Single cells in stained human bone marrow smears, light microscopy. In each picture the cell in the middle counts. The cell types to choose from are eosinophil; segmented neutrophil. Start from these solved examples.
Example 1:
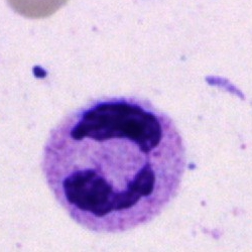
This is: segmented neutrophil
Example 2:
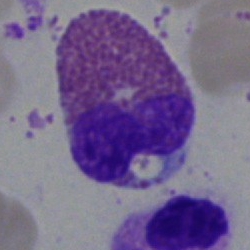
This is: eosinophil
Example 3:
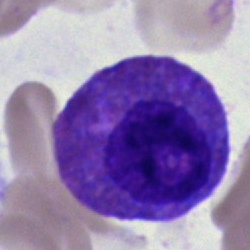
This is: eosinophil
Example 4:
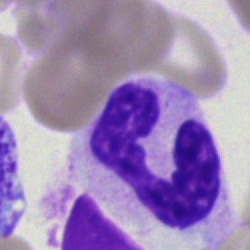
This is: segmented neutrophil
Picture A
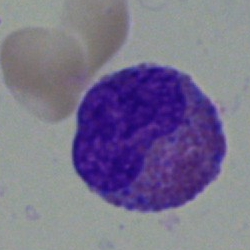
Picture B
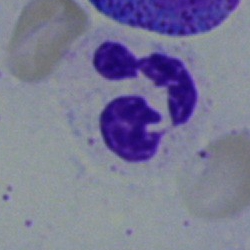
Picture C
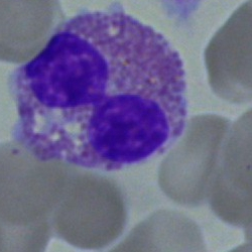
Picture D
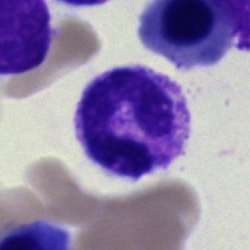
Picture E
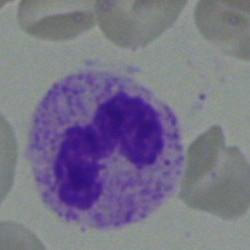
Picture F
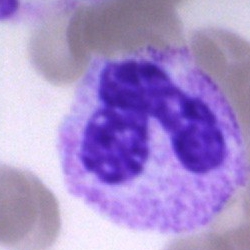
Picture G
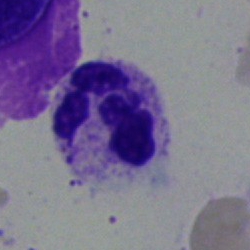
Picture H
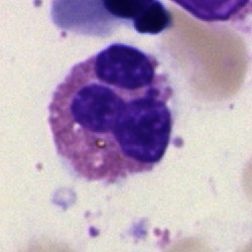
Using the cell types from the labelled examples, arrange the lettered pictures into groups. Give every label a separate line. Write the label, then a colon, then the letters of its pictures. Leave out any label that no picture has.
eosinophil: A, C, H
segmented neutrophil: B, D, E, F, G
